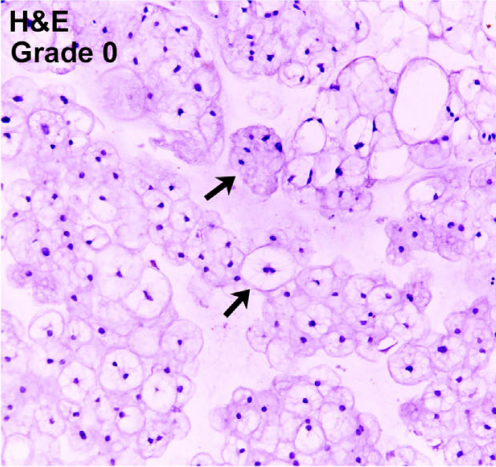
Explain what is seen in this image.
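The field is crowded with large vacuolated notochordal cells, lying singly and in clusters within a pale, lightly stained matrix. The cells are rounded to polygonal and vary in size; their cytoplasm is mostly clear, filled with vacuoles separated by thin pink-purple membranes, giving a bubbly, foamy appearance. Each cell carries a small, dark purple nucleus, often pushed to one side or sitting among the vacuoles. Some cells are large single clear bodies with one big vacuole. Clusters are separated by gaps of faint, amorphous extracellular material, and there is no dense fibrous matrix between them.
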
